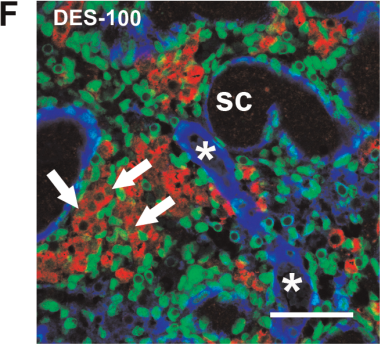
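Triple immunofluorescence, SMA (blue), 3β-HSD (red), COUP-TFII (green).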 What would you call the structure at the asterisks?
blood vessels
